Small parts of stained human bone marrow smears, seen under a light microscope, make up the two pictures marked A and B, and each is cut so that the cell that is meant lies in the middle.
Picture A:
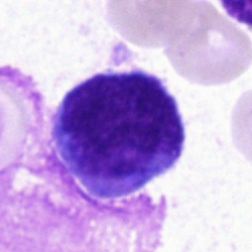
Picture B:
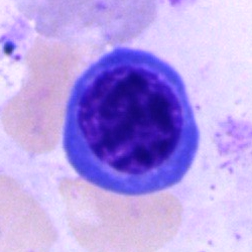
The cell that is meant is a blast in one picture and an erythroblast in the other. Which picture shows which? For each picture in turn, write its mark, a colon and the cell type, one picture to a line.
A: blast
B: erythroblast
